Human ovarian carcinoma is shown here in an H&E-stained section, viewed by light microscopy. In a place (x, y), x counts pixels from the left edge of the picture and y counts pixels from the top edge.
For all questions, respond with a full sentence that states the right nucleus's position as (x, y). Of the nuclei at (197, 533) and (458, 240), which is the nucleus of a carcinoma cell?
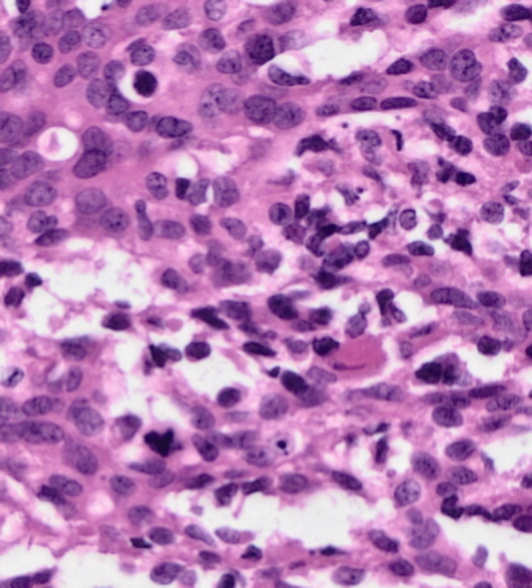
Among the two nuclei, the one found at (458, 240) belongs to a carcinoma cell.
